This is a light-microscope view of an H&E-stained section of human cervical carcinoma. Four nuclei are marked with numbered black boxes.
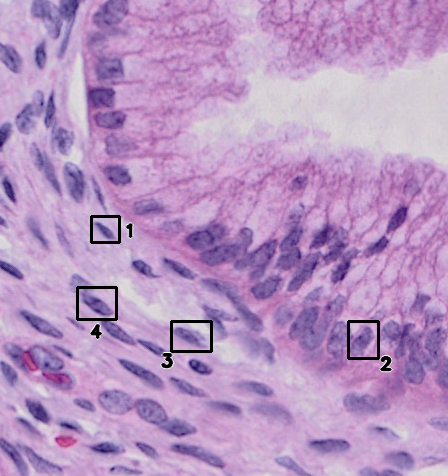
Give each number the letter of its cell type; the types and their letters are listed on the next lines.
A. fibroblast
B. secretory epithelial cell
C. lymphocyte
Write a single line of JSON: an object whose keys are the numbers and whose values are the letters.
{"1": "A", "2": "B", "3": "A", "4": "A"}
